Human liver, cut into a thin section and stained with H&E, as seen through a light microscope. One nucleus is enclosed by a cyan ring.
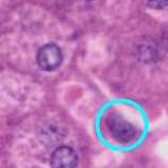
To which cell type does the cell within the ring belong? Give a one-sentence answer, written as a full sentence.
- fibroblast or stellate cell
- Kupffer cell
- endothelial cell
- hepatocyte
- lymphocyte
The cell type represented by the cell within the ring is that of a Kupffer cell.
